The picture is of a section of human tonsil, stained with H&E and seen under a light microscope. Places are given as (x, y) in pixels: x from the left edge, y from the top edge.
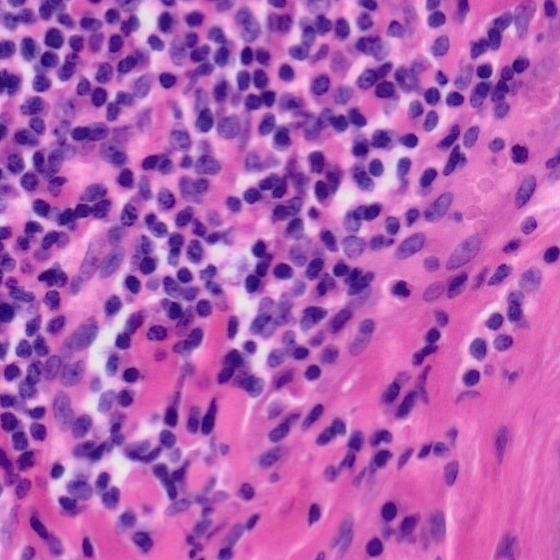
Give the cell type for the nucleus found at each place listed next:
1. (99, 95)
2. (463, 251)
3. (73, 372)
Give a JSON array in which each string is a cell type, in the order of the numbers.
["plasma cell", "endothelial cell", "endothelial cell"]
